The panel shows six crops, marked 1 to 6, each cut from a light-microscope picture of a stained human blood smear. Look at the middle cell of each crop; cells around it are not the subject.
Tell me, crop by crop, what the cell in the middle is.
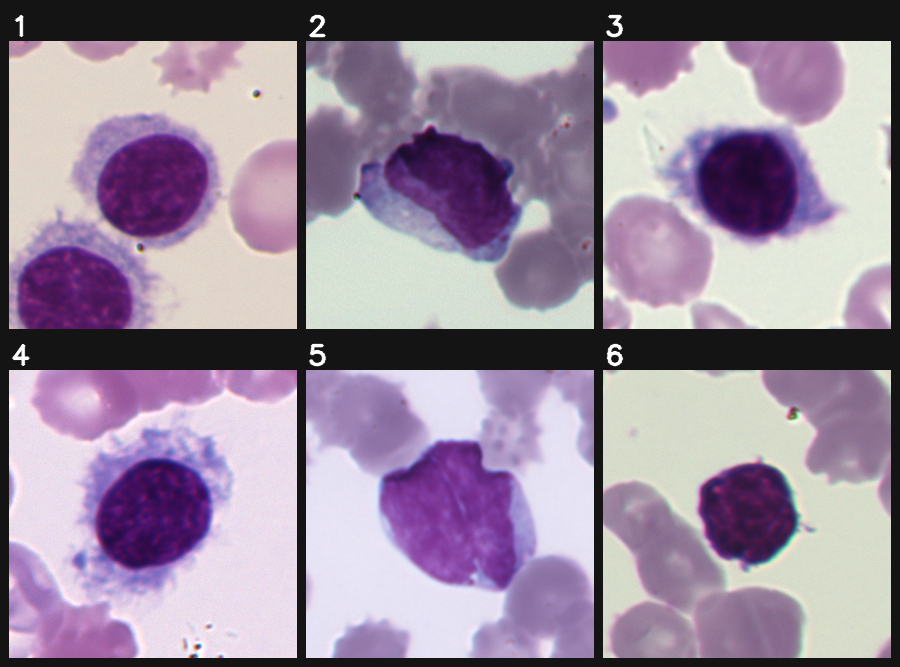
1: hairy cell
2: blast
3: hairy cell
4: hairy cell
5: blast
6: blast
